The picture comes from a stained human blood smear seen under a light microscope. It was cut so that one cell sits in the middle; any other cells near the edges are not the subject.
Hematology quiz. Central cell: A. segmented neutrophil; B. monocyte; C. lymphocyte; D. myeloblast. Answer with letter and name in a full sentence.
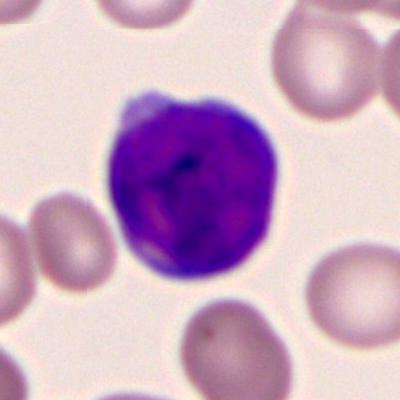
Option D is correct here, and the cell in the middle is a myeloblast.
